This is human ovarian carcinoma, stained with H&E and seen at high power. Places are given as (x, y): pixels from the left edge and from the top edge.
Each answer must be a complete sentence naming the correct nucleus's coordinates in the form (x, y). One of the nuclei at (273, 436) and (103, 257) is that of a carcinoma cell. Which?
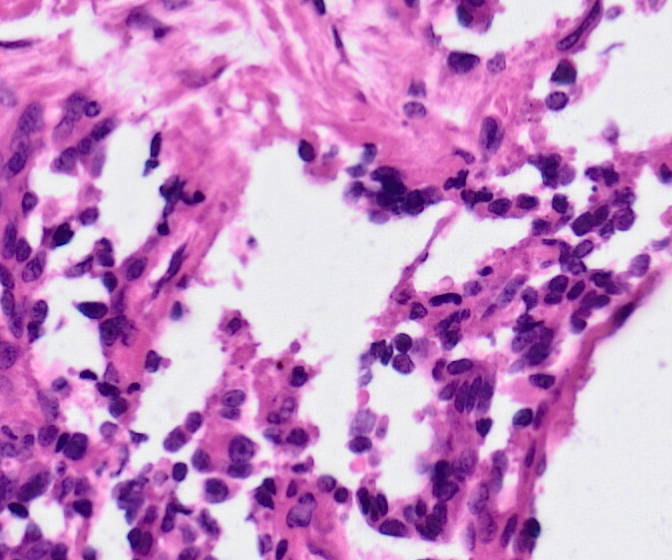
Identified as belonging to a carcinoma cell is the nucleus at (273, 436).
